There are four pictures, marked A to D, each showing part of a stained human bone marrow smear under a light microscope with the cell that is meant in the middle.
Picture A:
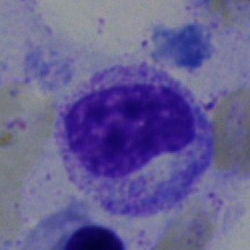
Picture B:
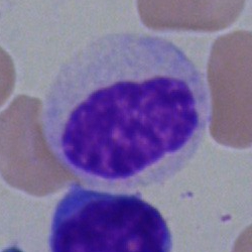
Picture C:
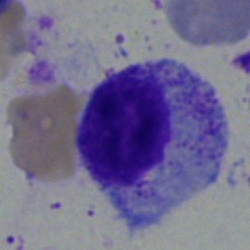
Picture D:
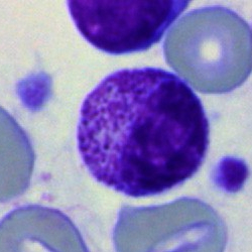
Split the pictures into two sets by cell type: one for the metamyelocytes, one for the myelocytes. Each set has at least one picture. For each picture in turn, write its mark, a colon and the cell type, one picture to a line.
A: metamyelocyte
B: metamyelocyte
C: myelocyte
D: myelocyte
